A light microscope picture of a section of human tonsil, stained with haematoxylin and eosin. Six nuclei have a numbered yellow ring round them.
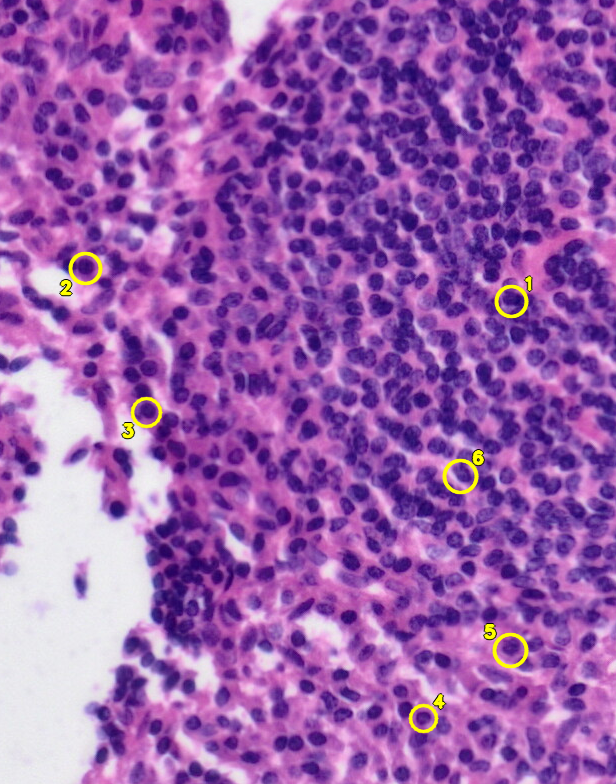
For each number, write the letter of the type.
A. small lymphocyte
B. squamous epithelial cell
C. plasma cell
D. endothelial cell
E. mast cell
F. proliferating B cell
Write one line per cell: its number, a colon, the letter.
1: A
2: C
3: C
4: C
5: C
6: A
